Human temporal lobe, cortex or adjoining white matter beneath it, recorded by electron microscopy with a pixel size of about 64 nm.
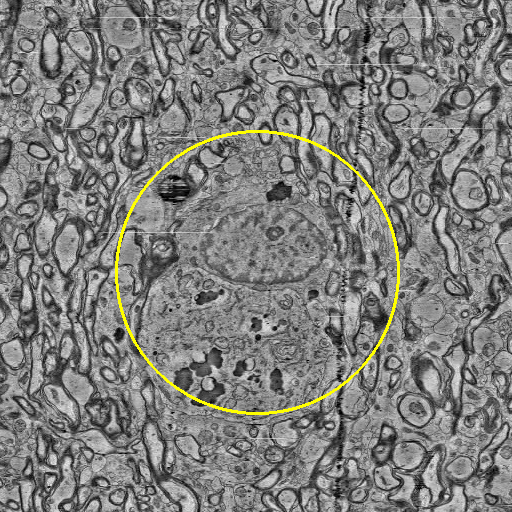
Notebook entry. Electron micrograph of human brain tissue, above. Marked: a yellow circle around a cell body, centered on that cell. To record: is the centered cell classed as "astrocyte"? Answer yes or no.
No, the centered cell belongs to another kind.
